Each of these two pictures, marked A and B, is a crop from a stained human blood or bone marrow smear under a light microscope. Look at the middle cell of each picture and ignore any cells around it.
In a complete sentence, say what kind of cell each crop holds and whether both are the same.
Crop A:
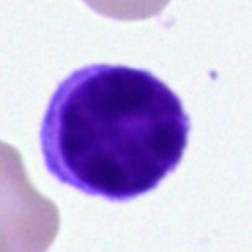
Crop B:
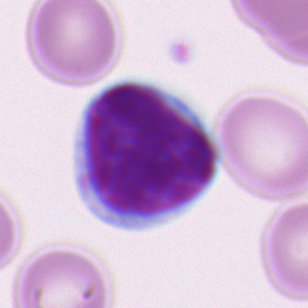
Yes, lymphocytes are the cells shown in both crops.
